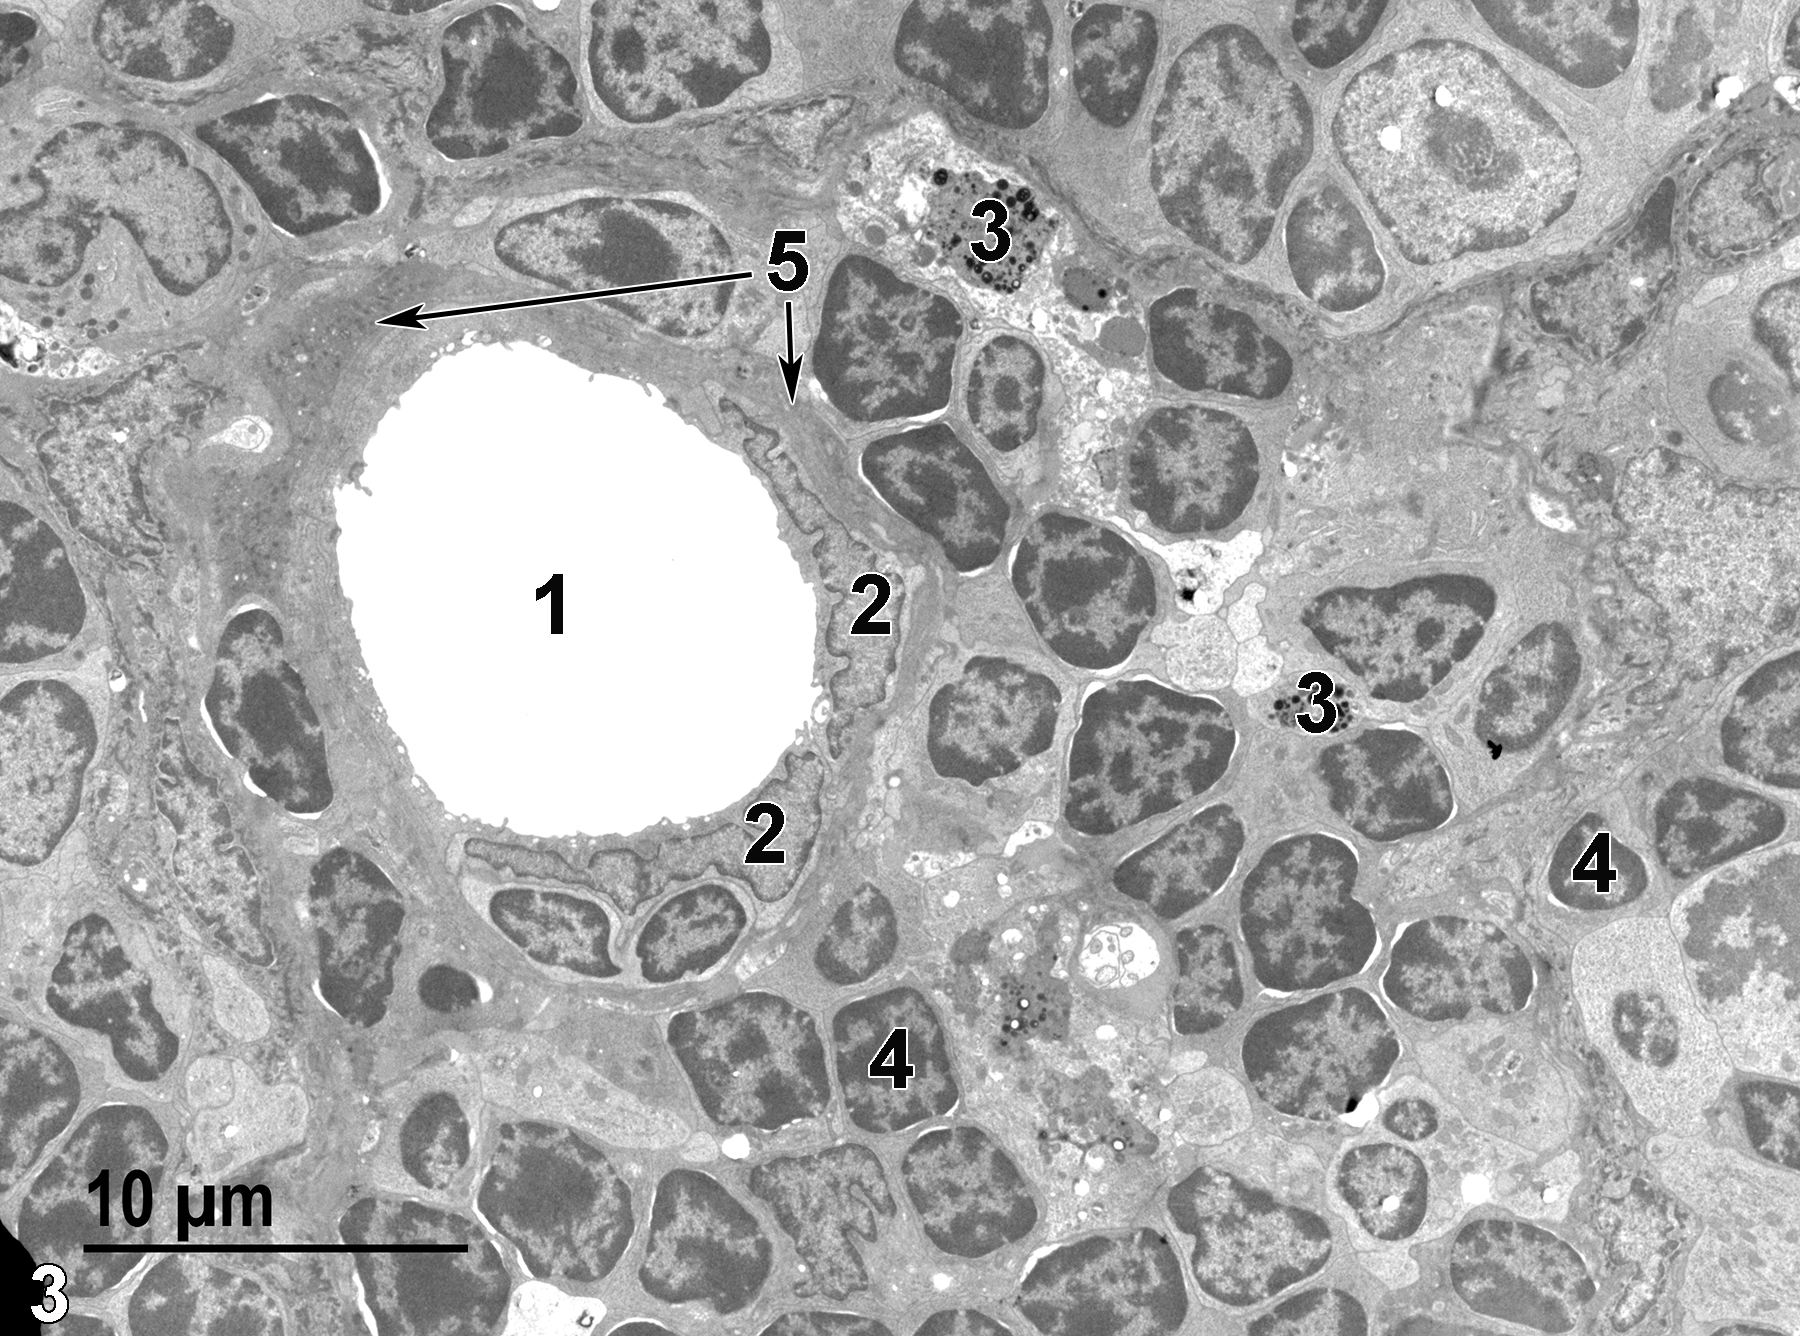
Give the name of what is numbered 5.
At 5: smooth muscle cells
